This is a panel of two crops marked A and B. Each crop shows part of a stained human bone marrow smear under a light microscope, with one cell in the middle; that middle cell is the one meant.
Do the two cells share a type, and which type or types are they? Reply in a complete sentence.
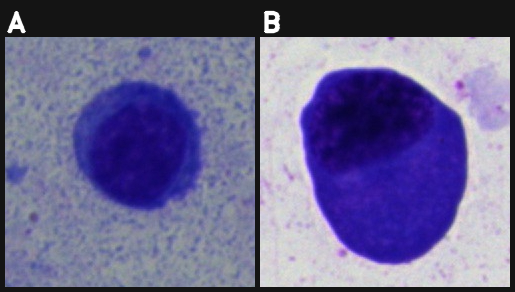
Yes, the cells in the centres of the two crops are plasma cells.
